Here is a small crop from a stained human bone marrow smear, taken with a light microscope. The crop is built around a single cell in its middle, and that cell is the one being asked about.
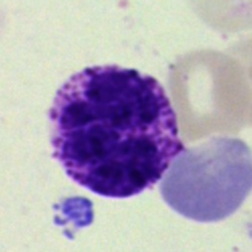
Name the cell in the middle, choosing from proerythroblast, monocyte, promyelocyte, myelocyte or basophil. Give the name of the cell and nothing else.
basophil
